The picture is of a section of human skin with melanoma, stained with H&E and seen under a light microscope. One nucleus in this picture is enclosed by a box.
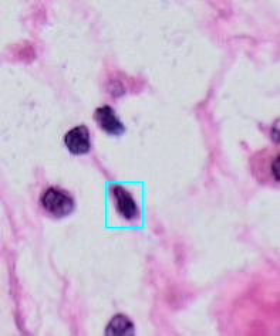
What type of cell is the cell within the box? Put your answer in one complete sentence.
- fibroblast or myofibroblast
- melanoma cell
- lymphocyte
Labelled by cell type, the cell within the box is a lymphocyte.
